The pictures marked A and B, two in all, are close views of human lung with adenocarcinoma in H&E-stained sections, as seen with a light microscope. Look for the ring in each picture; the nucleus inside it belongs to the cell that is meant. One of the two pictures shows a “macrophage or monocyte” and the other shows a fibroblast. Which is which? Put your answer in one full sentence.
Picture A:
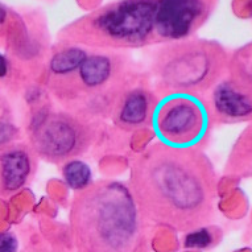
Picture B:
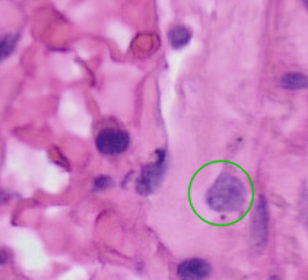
It is picture A that shows a “macrophage or monocyte”, and picture B that shows a fibroblast.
